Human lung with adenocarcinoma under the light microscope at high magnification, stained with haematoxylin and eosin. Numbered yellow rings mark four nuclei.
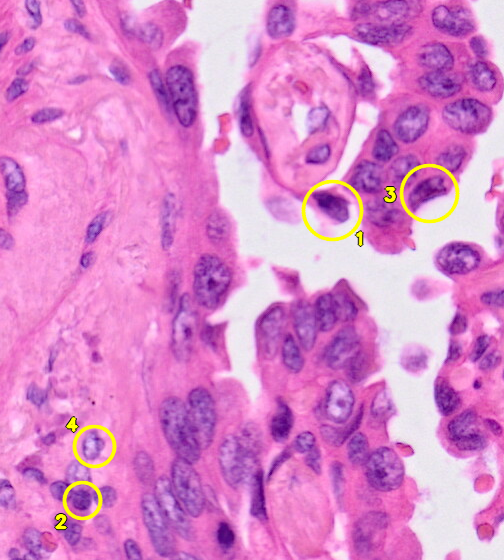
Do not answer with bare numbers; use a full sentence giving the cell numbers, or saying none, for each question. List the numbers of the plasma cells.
Only the nucleus marked 2 is that of a plasma cell.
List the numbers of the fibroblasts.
Cell 4 represents a fibroblast, and no other numbered cell does.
